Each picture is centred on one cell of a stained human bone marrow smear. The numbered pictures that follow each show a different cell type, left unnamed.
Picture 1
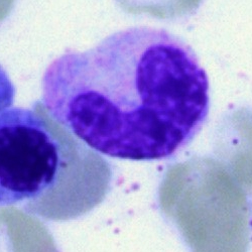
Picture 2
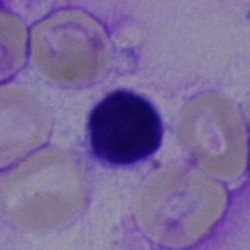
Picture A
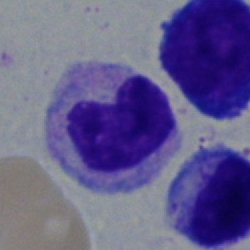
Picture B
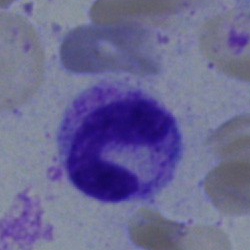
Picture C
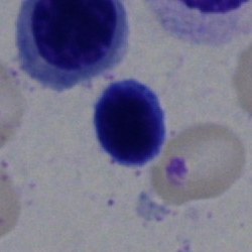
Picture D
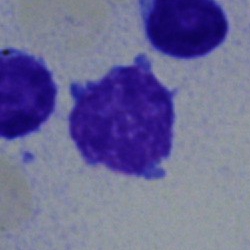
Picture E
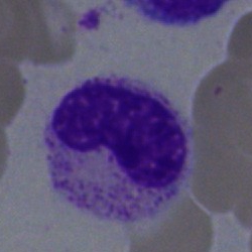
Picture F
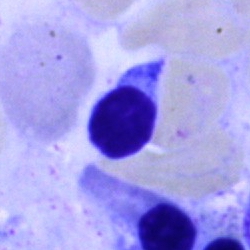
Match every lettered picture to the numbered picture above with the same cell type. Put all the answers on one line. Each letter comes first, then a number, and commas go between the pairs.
A 1, B 1, C 2, D 2, E 1, F 2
